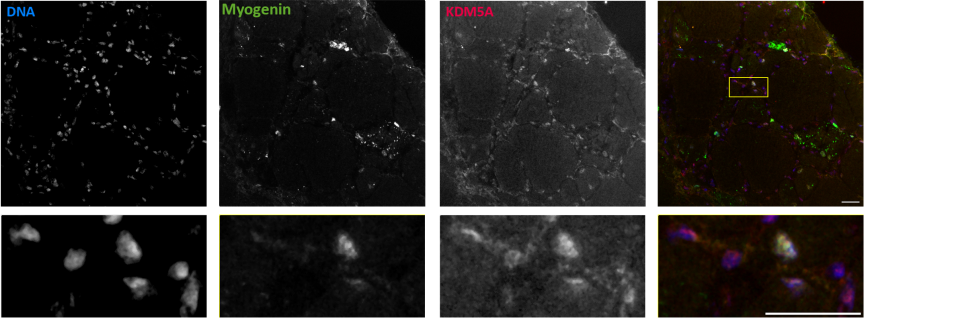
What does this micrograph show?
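A cross-section of skeletal muscle shows rounded and polygonal fibre profiles of varying size, with many nuclei crowded along the spaces between the fibres. Green-stained spots and granular clusters are scattered among the fibres, some lying over nuclei. In the enlarged view, several oval nuclei in blue carry red staining, and one nucleus is stained both green and red. The red staining is concentrated on nuclei rather than spread through the fibre interiors.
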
